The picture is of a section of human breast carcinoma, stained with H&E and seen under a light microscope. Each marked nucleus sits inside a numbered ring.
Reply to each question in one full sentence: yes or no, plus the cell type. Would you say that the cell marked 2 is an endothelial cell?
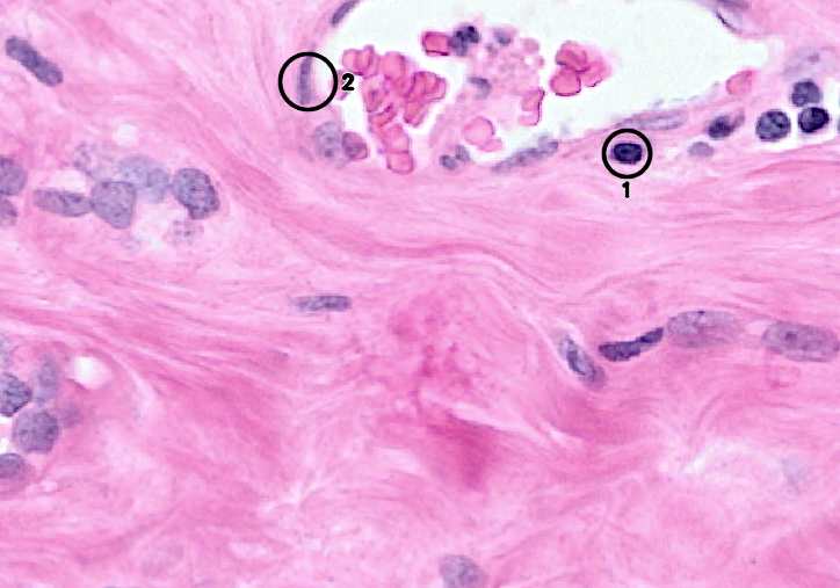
Yes, the marked cell numbered 2 is an endothelial cell.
